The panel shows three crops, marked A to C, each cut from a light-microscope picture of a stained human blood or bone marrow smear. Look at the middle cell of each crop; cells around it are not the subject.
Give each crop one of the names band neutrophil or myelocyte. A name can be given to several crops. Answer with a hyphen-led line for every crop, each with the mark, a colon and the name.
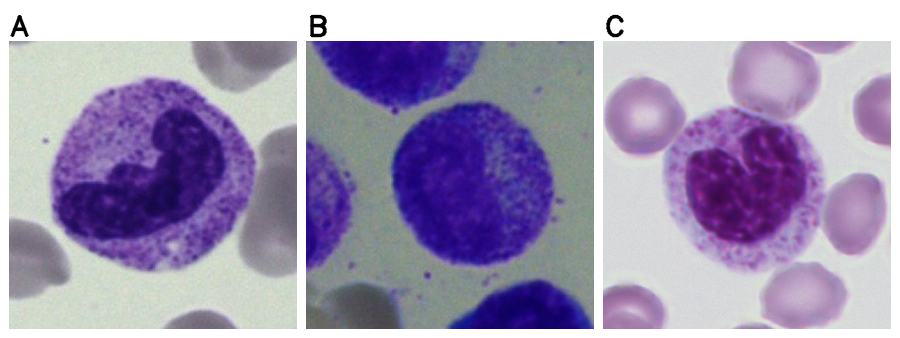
- A: band neutrophil
- B: myelocyte
- C: band neutrophil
